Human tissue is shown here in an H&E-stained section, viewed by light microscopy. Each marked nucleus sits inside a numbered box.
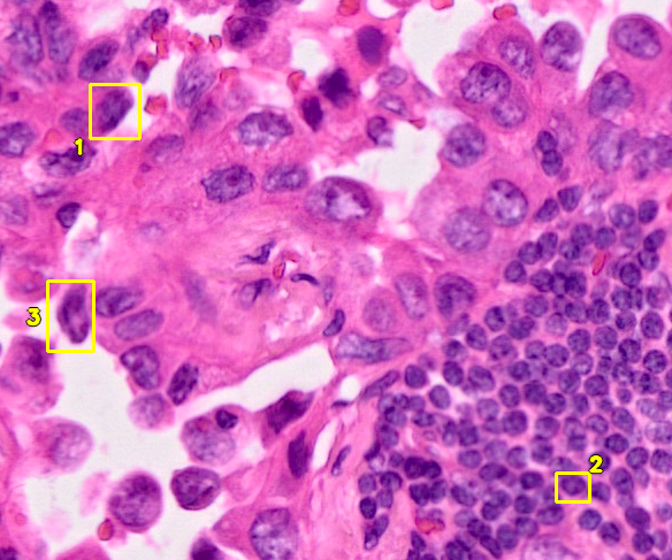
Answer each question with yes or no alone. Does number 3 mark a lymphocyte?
no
